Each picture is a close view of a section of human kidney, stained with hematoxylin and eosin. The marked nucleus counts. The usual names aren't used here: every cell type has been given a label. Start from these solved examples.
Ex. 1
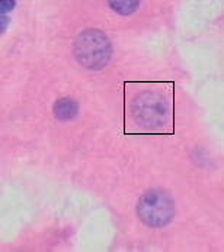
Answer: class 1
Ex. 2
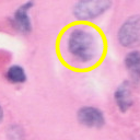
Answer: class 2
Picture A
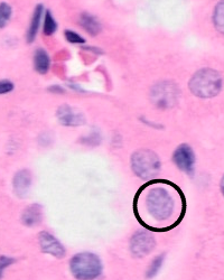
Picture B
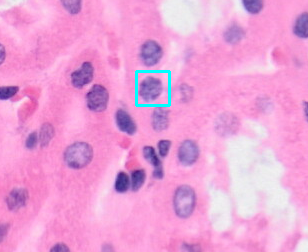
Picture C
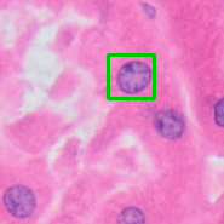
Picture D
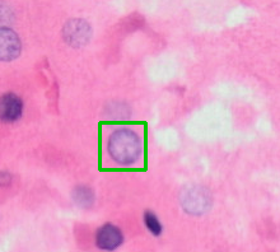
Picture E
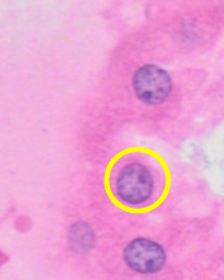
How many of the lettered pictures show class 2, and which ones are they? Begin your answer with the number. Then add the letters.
Count: 2 (A, B)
